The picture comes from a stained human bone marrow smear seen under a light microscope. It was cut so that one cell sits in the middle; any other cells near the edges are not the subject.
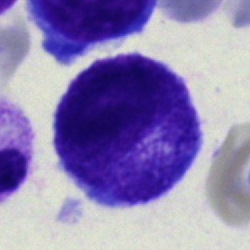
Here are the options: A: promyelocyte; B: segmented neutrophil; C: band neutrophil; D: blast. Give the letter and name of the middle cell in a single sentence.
Option A is the keyed answer: the cell in the middle is a promyelocyte.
